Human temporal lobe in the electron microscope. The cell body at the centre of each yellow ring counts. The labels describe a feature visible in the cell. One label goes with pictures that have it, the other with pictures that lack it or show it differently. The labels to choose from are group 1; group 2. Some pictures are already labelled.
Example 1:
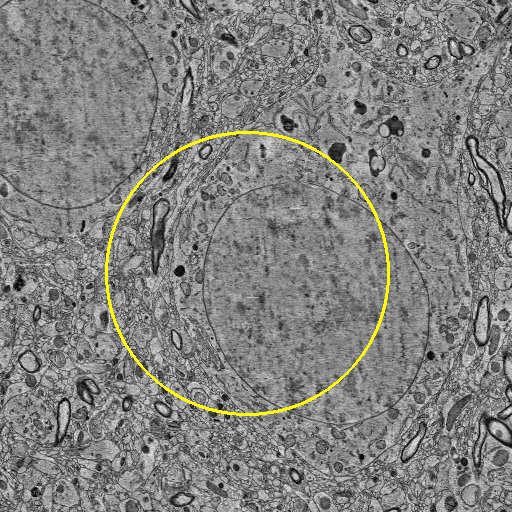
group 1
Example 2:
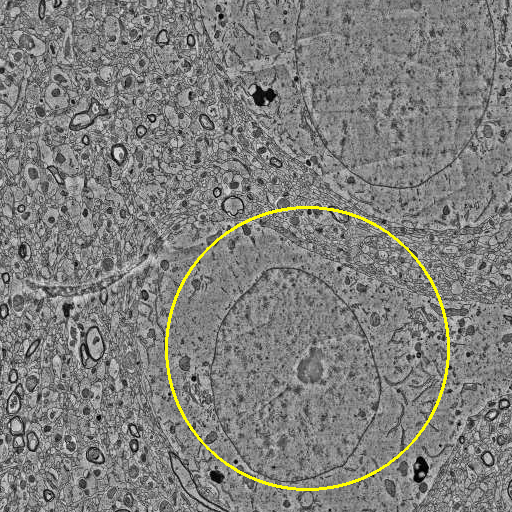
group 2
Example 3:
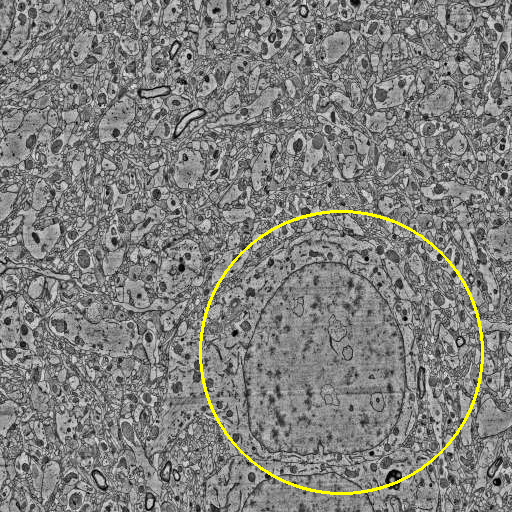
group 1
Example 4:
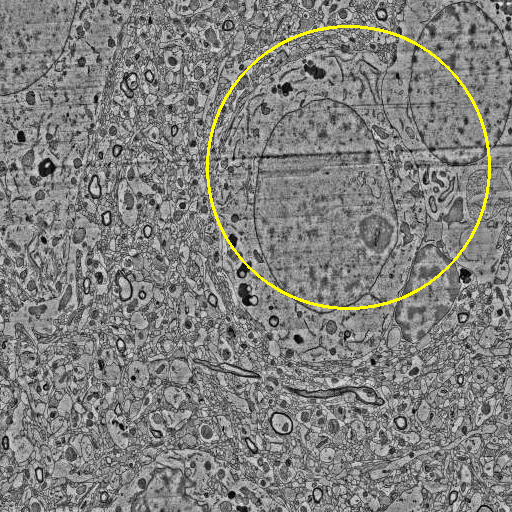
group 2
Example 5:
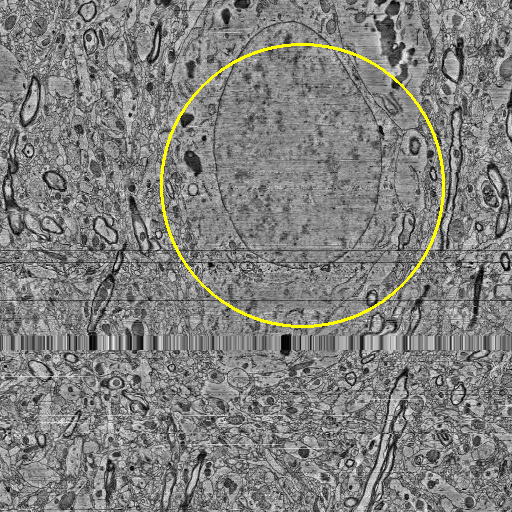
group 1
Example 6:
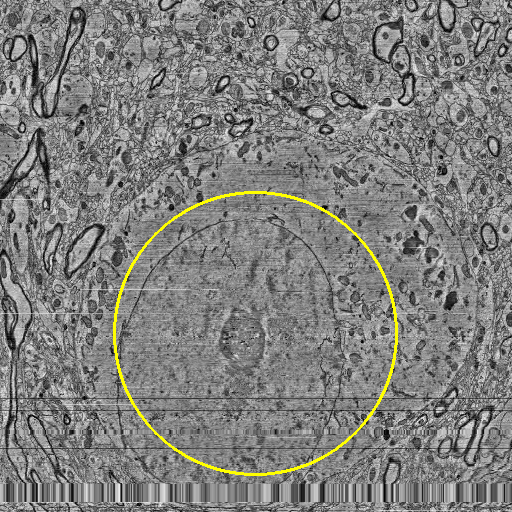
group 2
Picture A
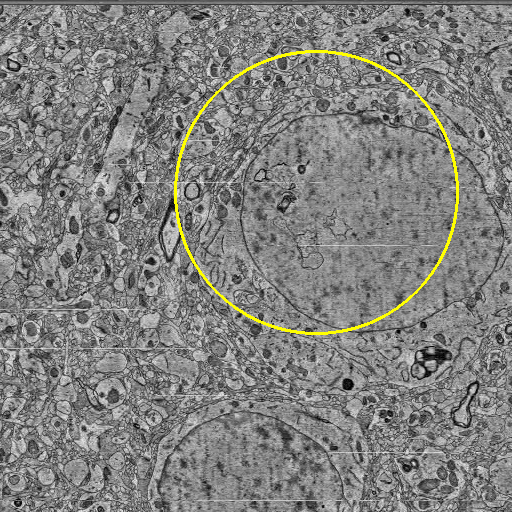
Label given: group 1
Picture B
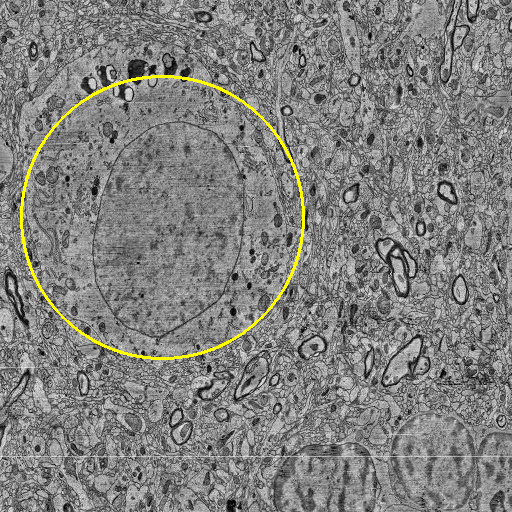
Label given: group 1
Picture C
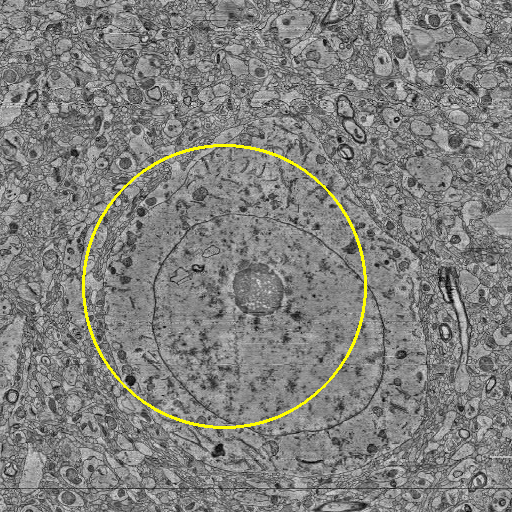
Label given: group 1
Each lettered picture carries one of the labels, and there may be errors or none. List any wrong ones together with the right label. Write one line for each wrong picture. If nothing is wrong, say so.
C: group 2, not group 1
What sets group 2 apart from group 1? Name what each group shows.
group 2, nucleolus seen; group 1, no nucleolus seen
